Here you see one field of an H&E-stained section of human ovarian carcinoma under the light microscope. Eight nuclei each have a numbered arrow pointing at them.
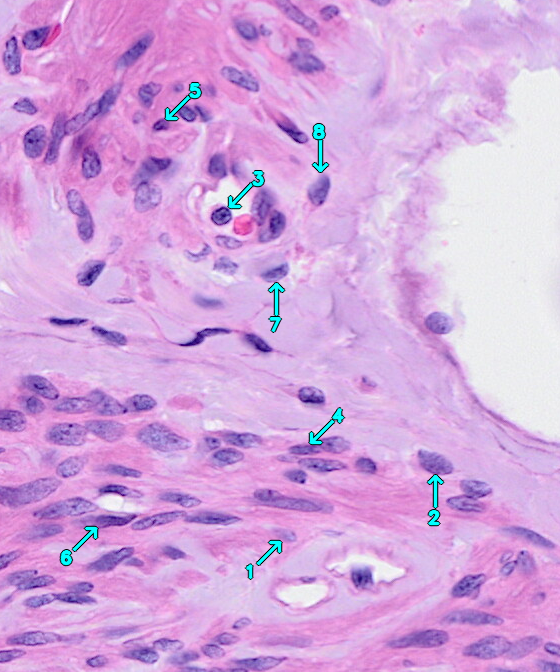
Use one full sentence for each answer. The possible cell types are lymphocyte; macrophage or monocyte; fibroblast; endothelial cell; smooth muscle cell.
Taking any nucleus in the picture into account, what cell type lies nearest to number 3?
Number 3 lies closest to the nucleus of an endothelial cell.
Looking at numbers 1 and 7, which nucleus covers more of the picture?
At about 2 times the area of nucleus 1, nucleus 7 is the larger of the two.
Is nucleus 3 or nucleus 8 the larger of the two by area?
At about 1.5 times the area of nucleus 3, nucleus 8 is the larger of the two.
